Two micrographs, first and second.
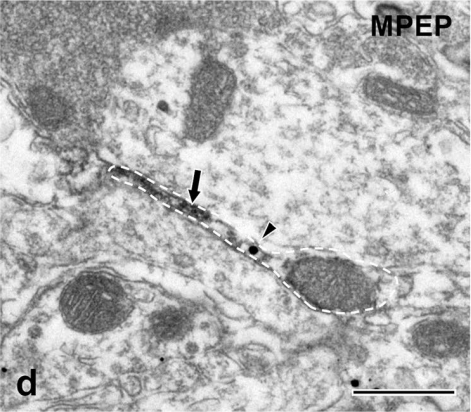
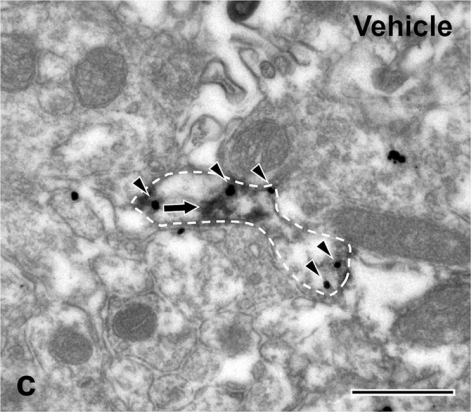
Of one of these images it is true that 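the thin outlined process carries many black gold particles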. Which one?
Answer: The second image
